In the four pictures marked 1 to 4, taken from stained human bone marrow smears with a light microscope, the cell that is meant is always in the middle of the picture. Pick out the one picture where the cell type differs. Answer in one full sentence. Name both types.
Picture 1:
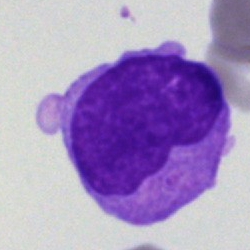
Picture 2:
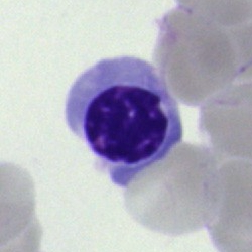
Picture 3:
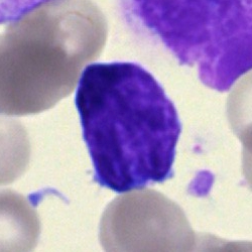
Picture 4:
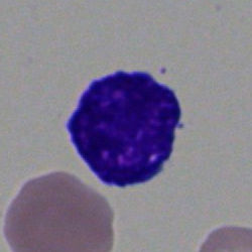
Picture 2 is the odd one out: it shows an erythroblast, while the others show blasts.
